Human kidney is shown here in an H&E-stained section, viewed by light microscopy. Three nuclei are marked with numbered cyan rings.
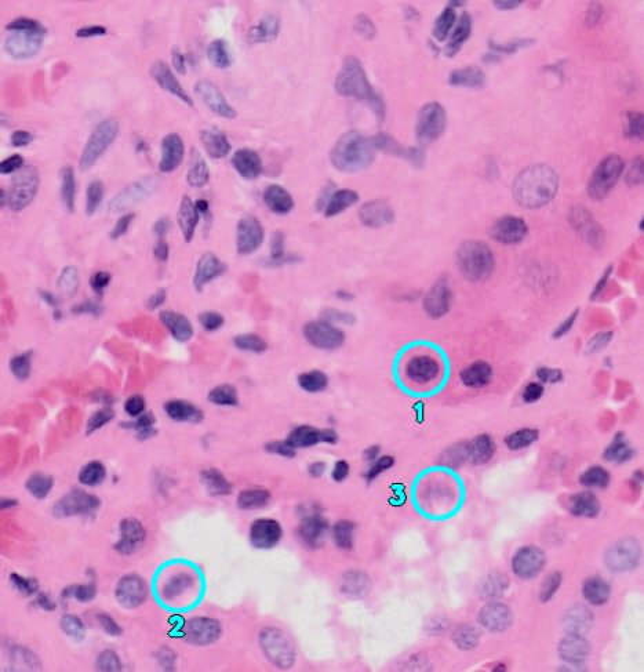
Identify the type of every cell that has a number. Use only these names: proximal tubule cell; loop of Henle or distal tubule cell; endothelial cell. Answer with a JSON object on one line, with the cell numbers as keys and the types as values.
{"1": "proximal tubule cell", "2": "loop of Henle or distal tubule cell", "3": "loop of Henle or distal tubule cell"}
